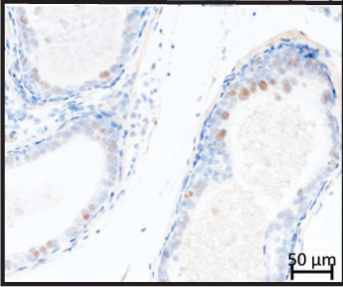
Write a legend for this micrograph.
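Prostate glands are shown in cross-section, each lined by epithelium around a lumen filled with pale, finely granular secretion. Many epithelial nuclei are stained brown, appearing as rounded to oval nuclei along the gland lining, some of them crowded or lying in more than one layer. Other nuclei, including those of the loose stroma between the glands, are blue. The stroma contains spindle-shaped cells with elongated nuclei. The epithelial cytoplasm is pale, and the lining is irregular in thickness from place to place.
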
